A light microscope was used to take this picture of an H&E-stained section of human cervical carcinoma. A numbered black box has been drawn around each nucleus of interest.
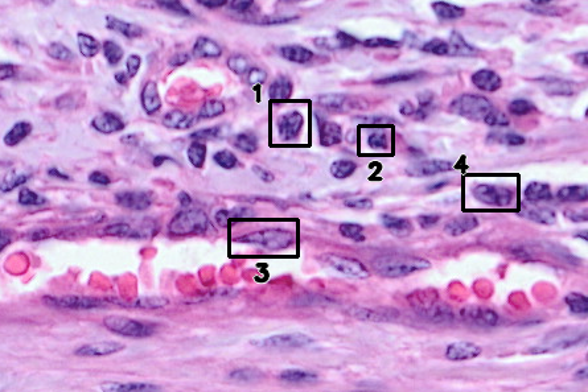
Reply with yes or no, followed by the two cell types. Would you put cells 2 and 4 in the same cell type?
Yes, cells 2 and 4 are, both of them, lymphocytes.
